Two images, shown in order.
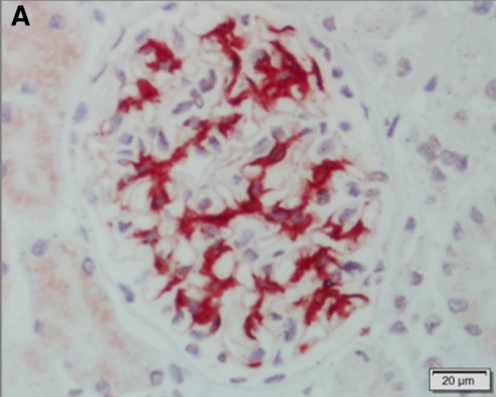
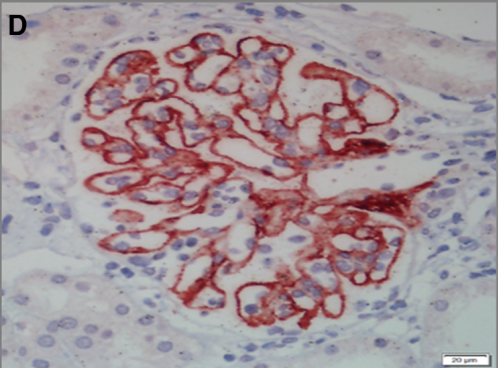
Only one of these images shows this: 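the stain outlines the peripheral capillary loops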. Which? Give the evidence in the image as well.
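Second image: red lines trace the walls of open capillary loops. First image: red stain sits in central branching stalks, with the peripheral loops mostly unstained. That points to this answer: the second image.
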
